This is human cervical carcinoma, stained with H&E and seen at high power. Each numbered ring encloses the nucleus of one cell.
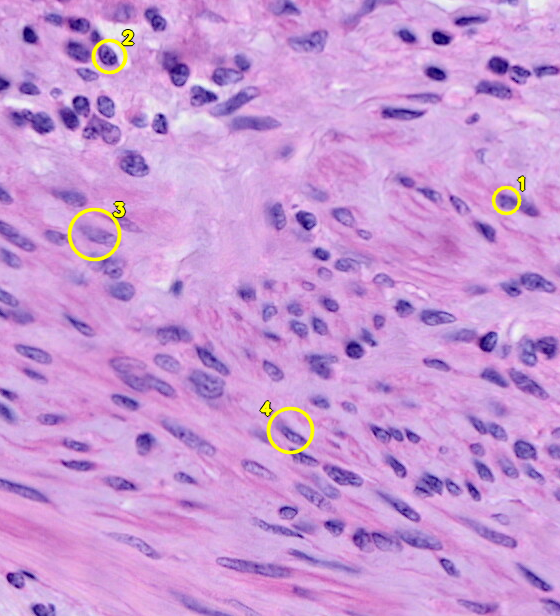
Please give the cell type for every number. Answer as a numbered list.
1. smooth muscle cell
2. lymphocyte
3. smooth muscle cell
4. smooth muscle cell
